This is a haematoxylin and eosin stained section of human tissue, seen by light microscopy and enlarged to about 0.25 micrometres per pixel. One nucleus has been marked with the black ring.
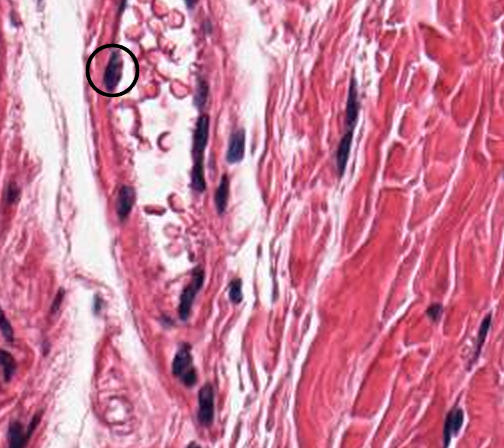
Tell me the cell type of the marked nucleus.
endothelial cell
